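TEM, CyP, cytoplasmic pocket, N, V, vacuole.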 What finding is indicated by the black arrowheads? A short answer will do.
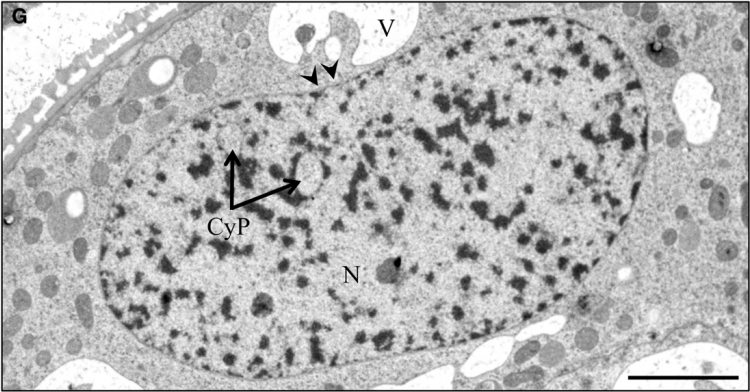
Median constriction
